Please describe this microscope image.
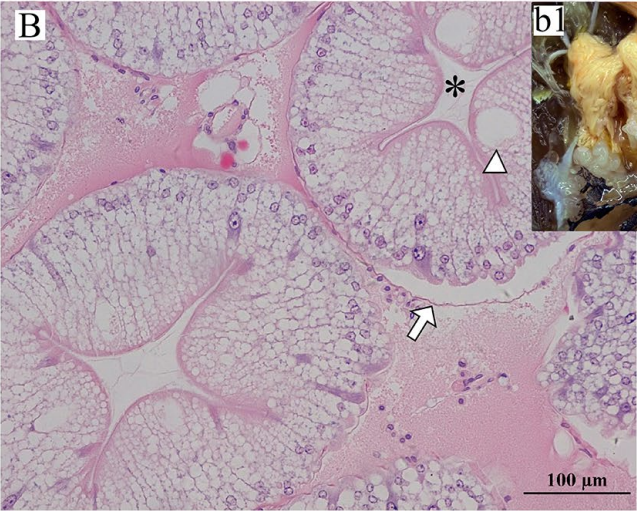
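Cross-sections of hepatopancreas tubules are seen, each lined by a single layer of tall columnar epithelial cells arranged radially around a star-shaped lumen. The cytoplasm of most epithelial cells is pale and finely vacuolated, and purple nuclei lie toward the base of the cells. Some cells contain a single large clear vacuole next to the lumen. A thin pink basal lamina bounds each tubule, and pink-staining connective tissue with scattered nuclei fills the spaces between tubules.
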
